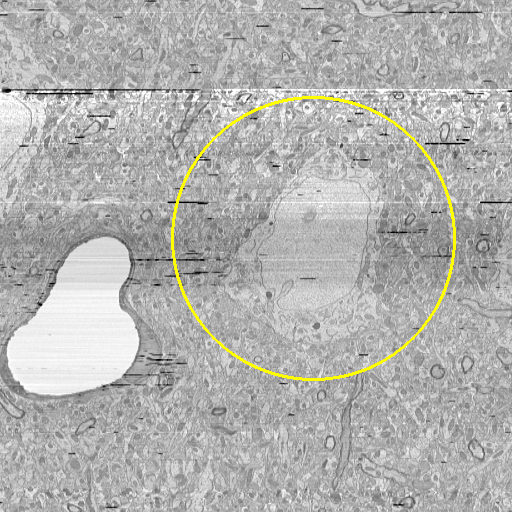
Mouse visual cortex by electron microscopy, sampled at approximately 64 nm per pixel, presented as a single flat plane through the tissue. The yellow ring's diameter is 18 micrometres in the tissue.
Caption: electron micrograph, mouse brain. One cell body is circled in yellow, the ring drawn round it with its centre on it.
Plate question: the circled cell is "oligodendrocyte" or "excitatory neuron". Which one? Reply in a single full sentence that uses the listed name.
The yellow ring on the plate is centred on an excitatory neuron, going by the listed names.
